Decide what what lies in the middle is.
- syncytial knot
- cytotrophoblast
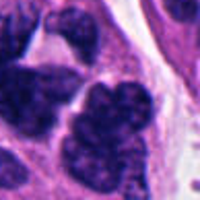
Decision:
syncytial knot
